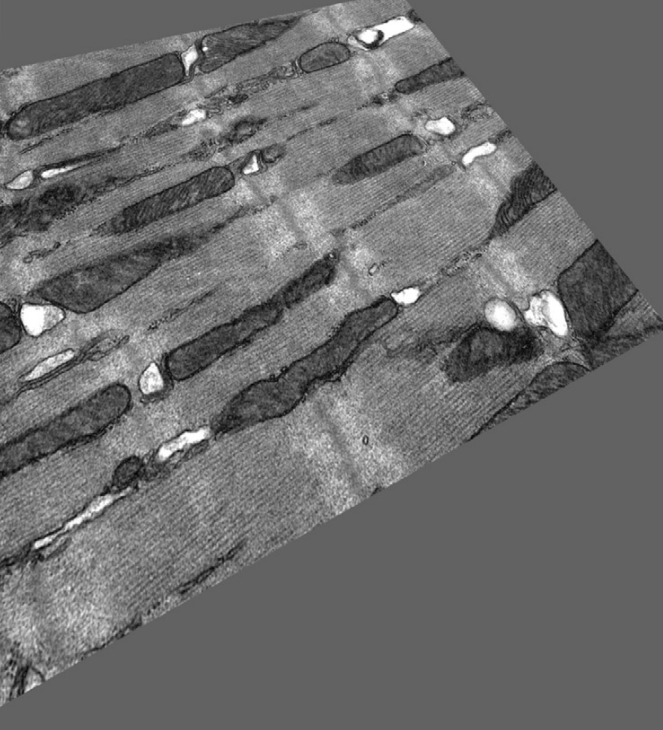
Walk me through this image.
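Heart muscle in a tilted electron micrograph shows bundles of myofibrils with fine regular cross-striations running diagonally, and between them rows of long, dark, membrane-bound organelles with tightly packed internal cristae. Small pale, empty-looking membranous profiles lie at the ends of and beside these organelles. These are intermyofibrillar mitochondria lying in rows between the myofibrils of a cardiac muscle cell.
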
